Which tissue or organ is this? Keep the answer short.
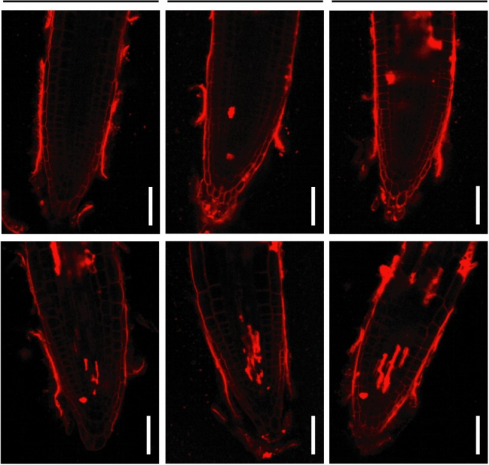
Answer: root tips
